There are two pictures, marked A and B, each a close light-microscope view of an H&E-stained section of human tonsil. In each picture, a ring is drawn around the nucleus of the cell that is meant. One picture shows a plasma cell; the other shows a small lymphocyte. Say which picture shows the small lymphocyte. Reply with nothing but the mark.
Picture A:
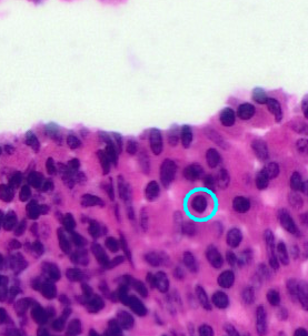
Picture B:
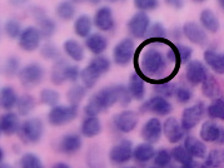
B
